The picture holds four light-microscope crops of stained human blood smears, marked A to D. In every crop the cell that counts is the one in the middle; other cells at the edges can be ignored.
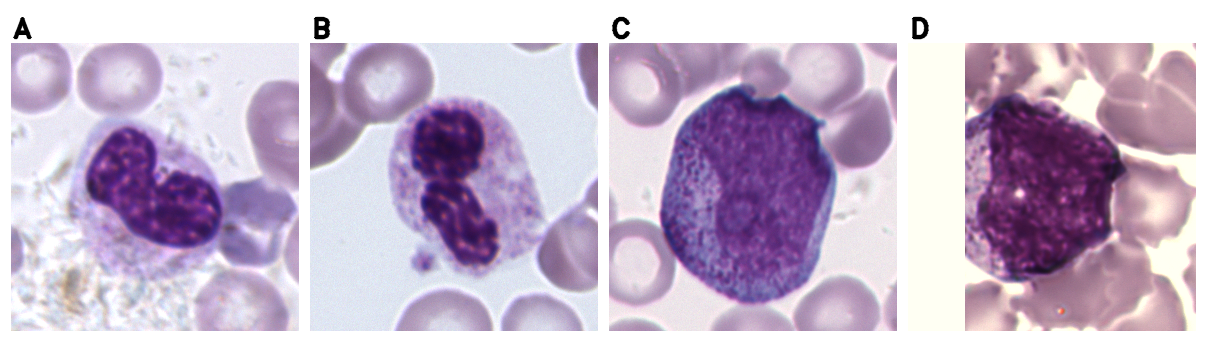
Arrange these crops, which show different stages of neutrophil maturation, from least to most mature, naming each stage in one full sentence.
In terms of maturity, from least to most, the order is crop C (a promyelocyte), crop D (a myelocyte), crop A (a band neutrophil) and crop B (a segmented neutrophil).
